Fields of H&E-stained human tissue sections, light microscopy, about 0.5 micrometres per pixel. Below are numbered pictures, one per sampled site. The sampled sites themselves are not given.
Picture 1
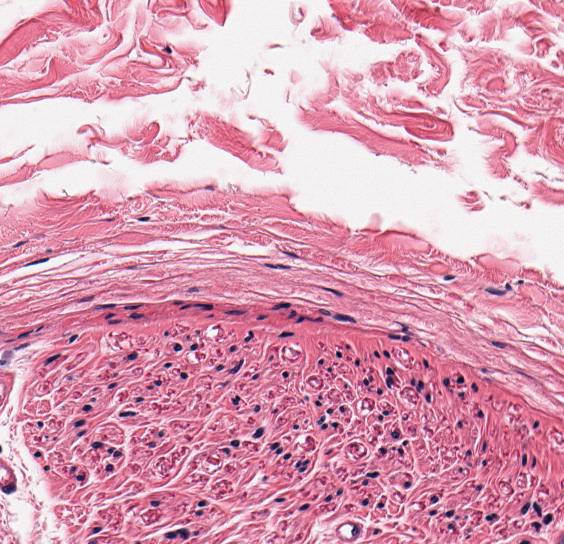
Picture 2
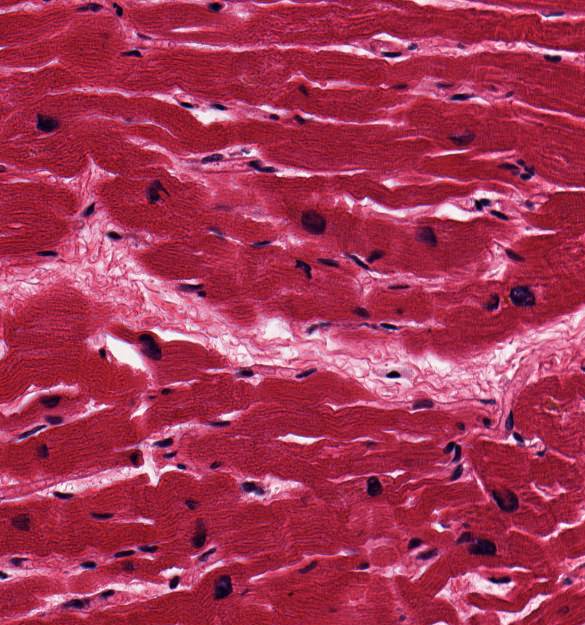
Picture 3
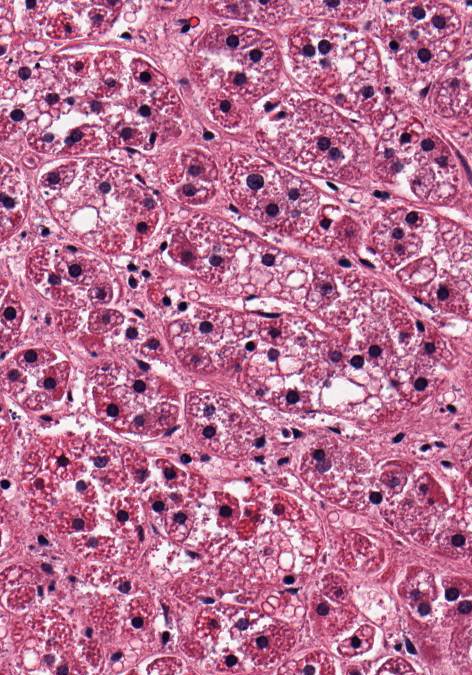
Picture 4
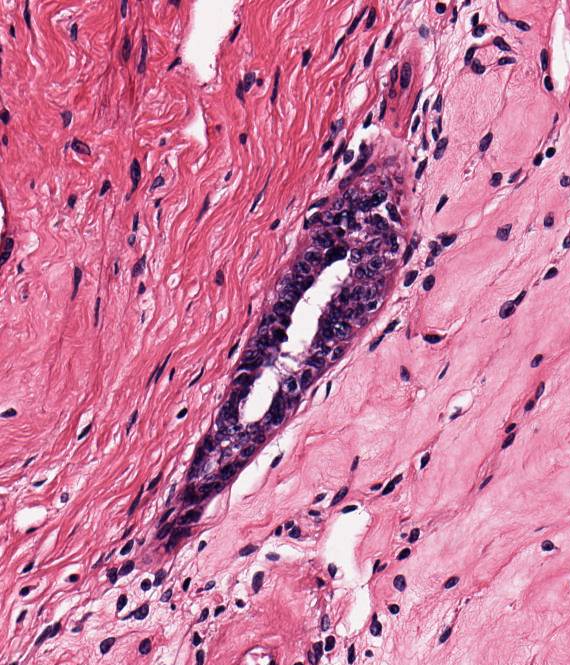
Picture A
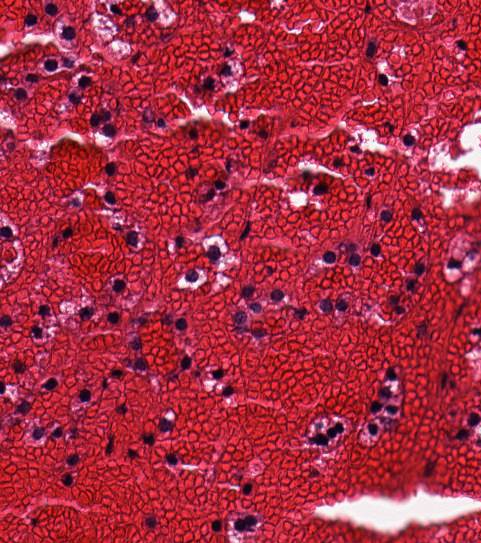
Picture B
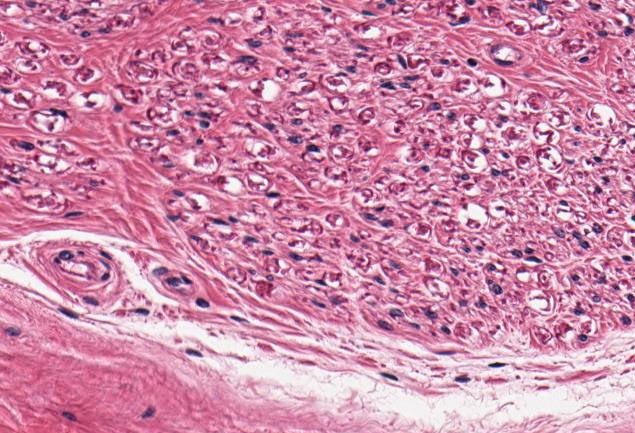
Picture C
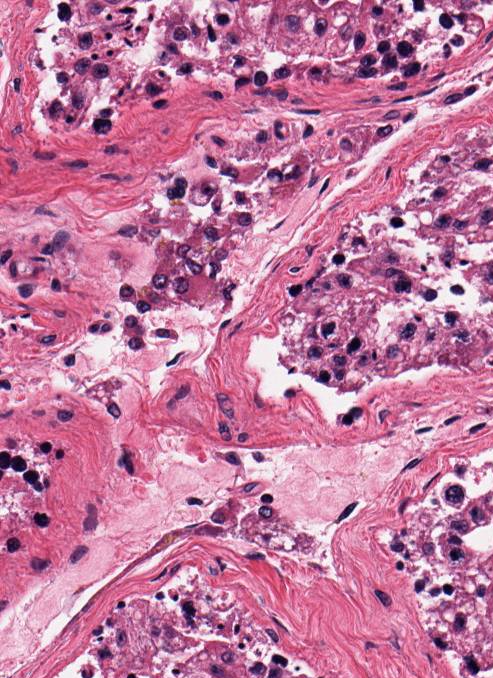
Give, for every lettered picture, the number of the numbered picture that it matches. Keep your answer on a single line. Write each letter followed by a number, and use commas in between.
A 3, B 1, C 4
